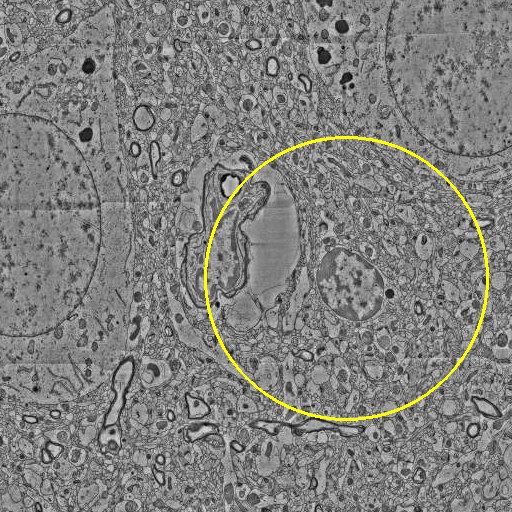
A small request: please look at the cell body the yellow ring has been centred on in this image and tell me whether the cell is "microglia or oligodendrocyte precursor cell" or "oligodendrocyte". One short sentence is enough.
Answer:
The cell marked by the ring is a microglial cell or oligodendrocyte precursor cell.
